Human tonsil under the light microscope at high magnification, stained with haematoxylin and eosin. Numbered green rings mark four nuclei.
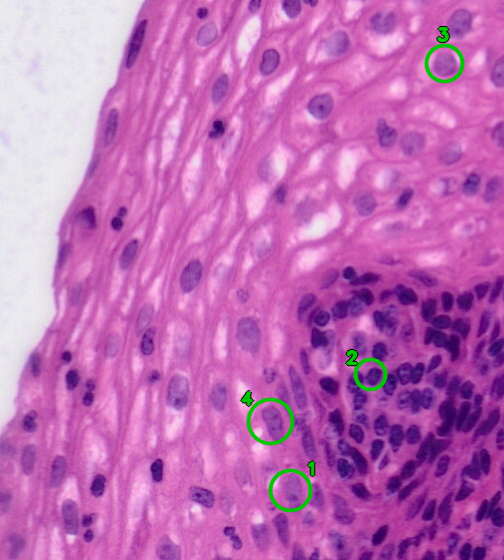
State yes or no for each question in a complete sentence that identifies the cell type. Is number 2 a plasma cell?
Yes, that is right: the cell labelled 2 is a plasma cell.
